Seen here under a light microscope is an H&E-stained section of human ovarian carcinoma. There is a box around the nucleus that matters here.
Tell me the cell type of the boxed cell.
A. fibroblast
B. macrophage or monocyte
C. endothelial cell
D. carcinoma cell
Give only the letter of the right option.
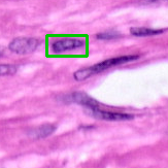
A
